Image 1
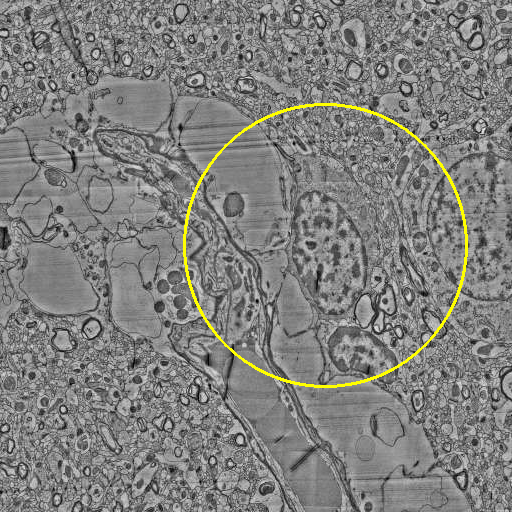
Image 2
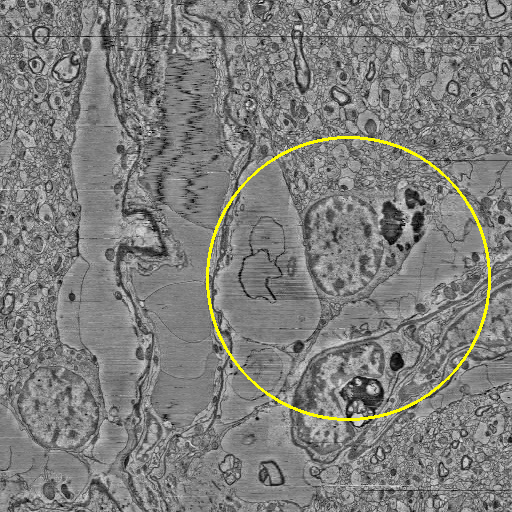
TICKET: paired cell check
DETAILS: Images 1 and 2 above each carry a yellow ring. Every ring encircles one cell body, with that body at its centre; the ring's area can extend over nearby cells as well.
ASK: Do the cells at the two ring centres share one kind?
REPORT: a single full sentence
Yes, the ring-centre cells of Images 1 and 2 belong to a single kind.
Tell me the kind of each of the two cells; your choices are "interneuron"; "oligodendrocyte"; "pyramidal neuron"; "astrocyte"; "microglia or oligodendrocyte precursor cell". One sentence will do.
The second cell is an oligodendrocyte, just as the first is.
